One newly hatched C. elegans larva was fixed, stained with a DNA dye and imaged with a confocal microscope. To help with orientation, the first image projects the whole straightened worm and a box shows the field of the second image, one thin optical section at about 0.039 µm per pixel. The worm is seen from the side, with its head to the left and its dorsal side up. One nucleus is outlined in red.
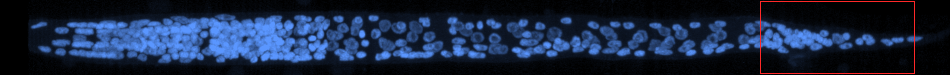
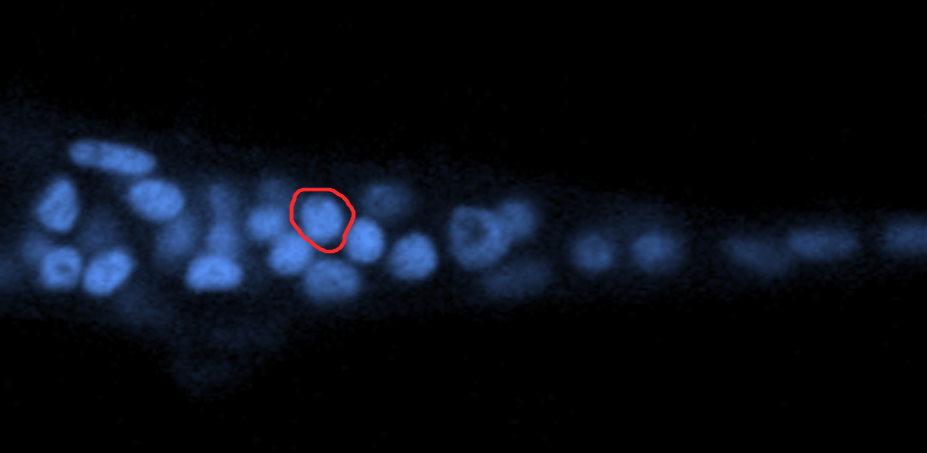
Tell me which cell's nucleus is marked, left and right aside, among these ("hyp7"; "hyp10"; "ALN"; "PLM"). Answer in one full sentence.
The marked nucleus belongs to ALN, a neuron.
